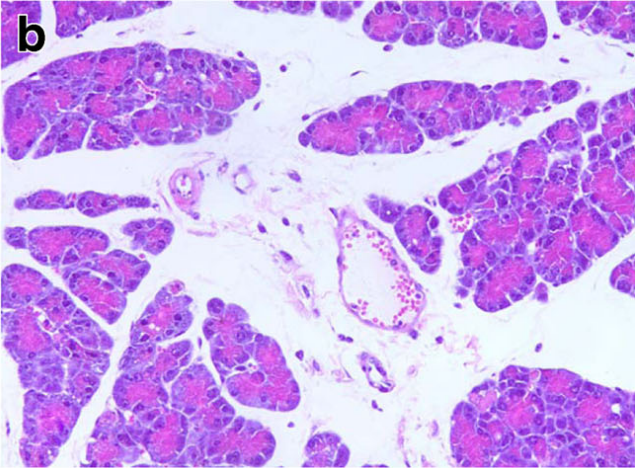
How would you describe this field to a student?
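This is exocrine pancreas, with lobules of acinar cells broken apart by wide pale spaces of interstitial edema. Each acinus is made of pyramidal cells whose bases are purple and whose apical cytoplasm toward the centre is pink. The round nuclei sit near the base of the cells. Between the lobules the tissue is loose and pale, with only fine fibres, and a thin-walled vessel holding red blood cells runs through it. The acini themselves still keep their shape, without broad areas of breakdown.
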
